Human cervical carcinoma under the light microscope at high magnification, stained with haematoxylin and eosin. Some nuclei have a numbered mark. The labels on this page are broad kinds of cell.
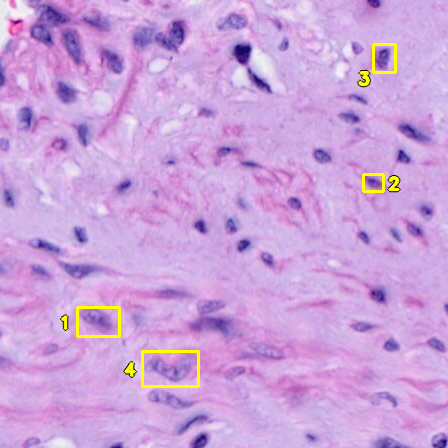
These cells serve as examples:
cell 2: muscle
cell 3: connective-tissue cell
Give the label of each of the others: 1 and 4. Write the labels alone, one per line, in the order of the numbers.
muscle
muscle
